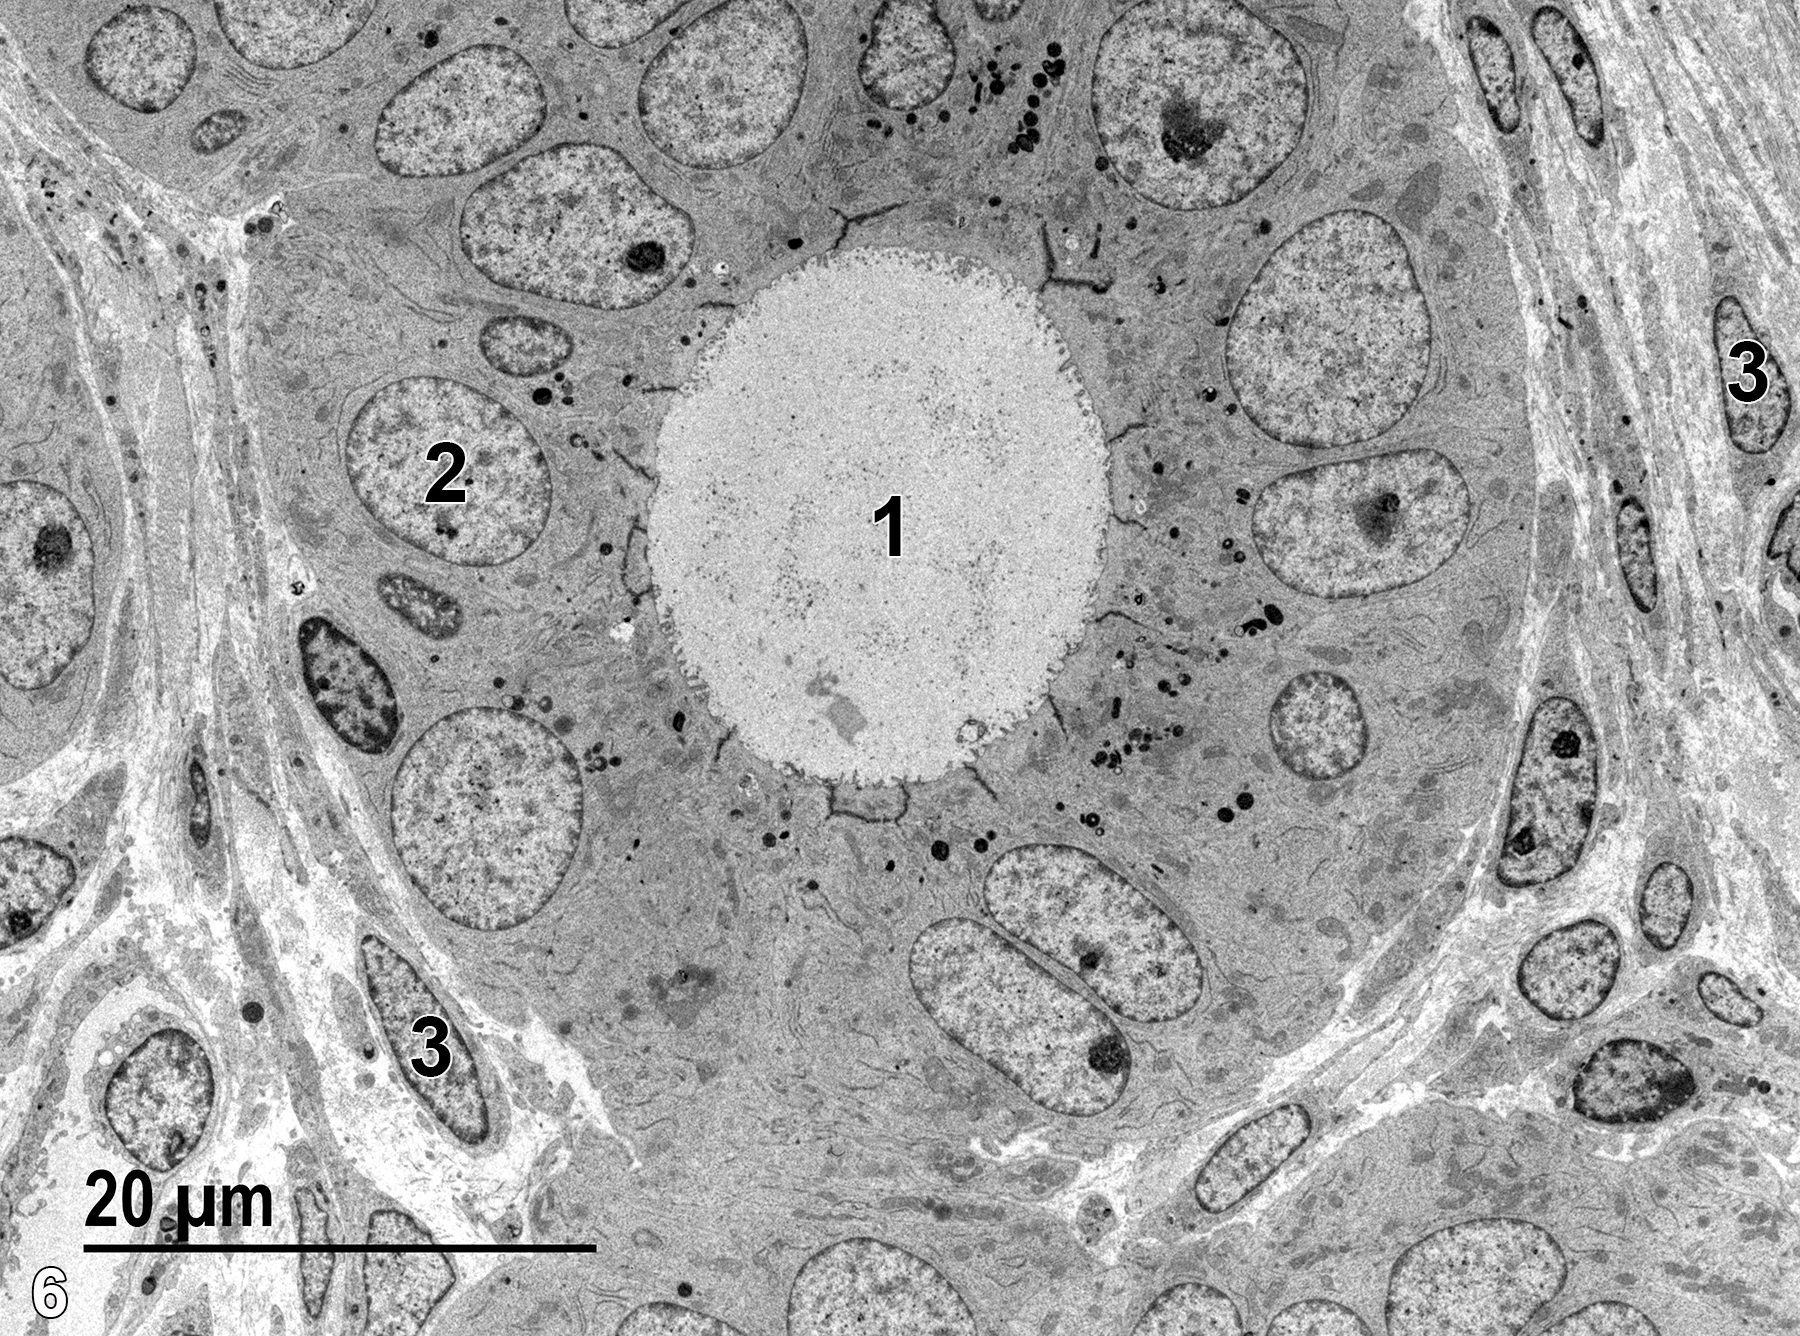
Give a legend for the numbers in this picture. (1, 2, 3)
1: glandular lumen
2: cuboidal epithelial cells
3: fibroblasts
